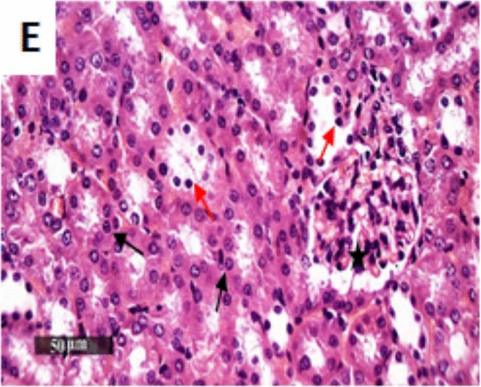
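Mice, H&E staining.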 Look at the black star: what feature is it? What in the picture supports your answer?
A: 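A round, densely nucleated capillary tuft within a thin capsule. On this evidence: renal corpuscles.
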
